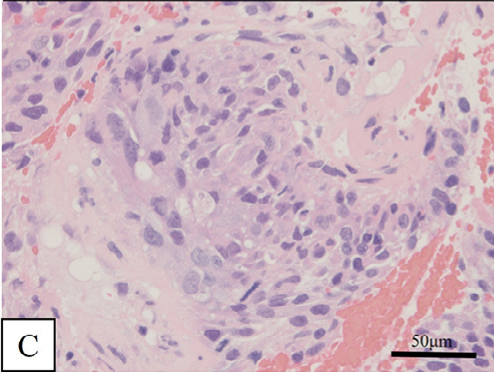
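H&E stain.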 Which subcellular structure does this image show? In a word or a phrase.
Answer: Cytoplasmic vacuoles.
